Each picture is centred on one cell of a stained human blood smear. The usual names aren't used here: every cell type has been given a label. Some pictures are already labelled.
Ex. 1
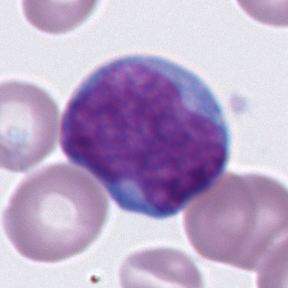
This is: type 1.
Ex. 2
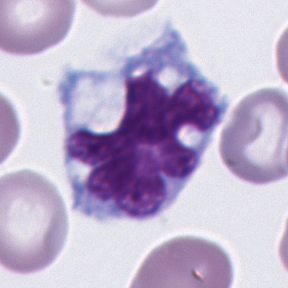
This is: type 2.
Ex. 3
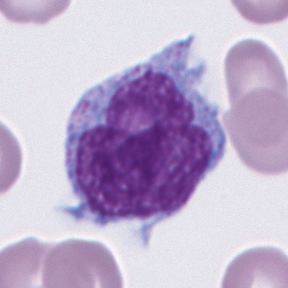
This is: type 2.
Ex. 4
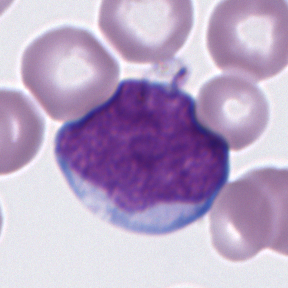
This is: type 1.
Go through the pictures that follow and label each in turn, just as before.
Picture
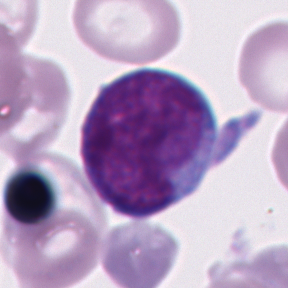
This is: type 1.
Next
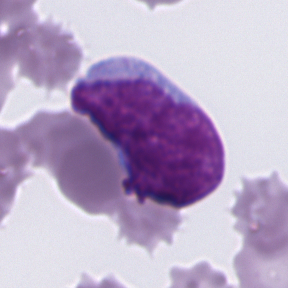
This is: type 1.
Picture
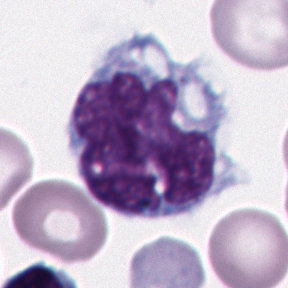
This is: type 2.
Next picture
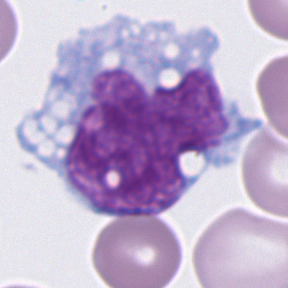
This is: type 2.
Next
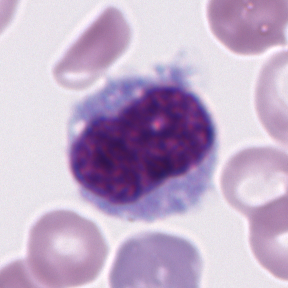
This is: type 2.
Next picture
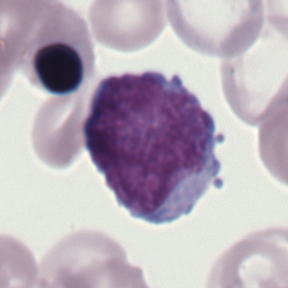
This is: type 1.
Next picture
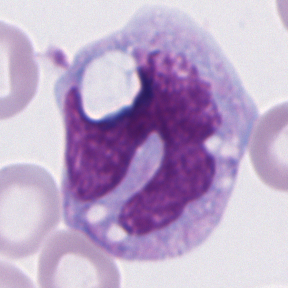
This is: type 2.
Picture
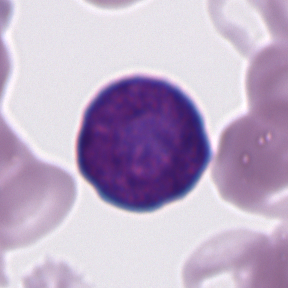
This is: type 1.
